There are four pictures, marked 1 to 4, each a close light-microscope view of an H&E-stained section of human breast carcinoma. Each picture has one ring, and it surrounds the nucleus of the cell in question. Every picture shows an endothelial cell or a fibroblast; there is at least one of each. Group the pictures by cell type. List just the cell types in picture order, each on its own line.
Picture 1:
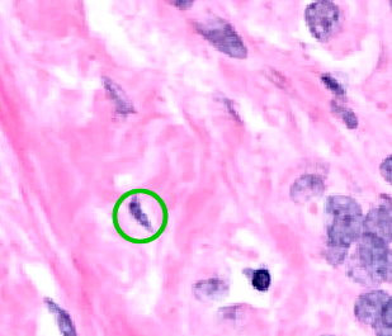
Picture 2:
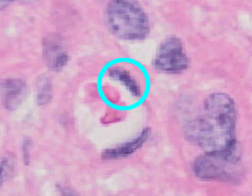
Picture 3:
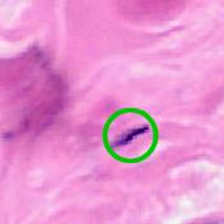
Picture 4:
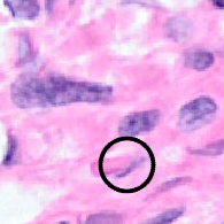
fibroblast
endothelial cell
fibroblast
endothelial cell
